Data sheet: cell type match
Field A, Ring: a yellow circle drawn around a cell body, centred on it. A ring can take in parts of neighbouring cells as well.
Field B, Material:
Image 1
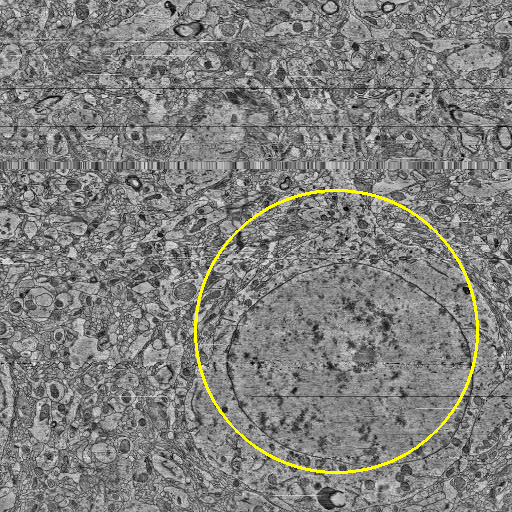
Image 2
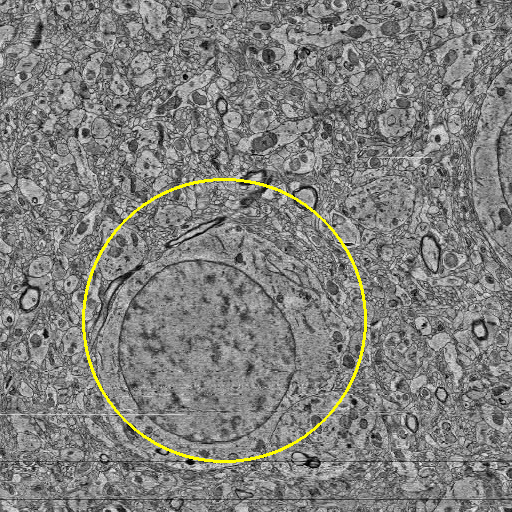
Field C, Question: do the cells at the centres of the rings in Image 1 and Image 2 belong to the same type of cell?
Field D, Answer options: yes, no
yes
